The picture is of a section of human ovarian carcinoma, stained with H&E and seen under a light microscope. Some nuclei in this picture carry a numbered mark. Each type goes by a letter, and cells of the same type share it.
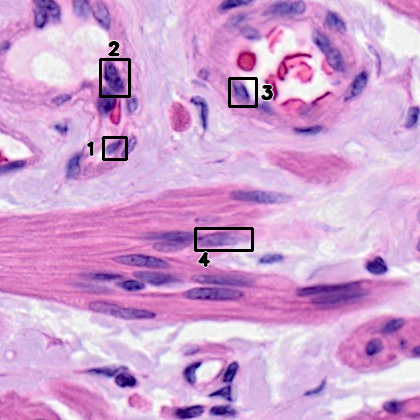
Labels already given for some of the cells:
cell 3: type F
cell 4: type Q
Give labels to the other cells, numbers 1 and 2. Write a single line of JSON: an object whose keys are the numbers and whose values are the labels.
{"1": "type F", "2": "type F"}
